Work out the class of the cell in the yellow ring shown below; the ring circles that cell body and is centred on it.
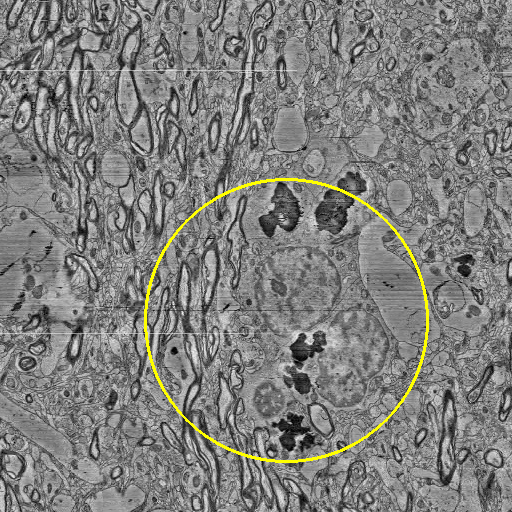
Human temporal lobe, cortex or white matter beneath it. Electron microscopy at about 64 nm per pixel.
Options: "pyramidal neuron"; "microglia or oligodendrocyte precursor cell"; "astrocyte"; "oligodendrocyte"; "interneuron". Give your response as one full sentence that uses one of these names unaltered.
The body ringed in yellow, right at the ring's centre, is that of an oligodendrocyte.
